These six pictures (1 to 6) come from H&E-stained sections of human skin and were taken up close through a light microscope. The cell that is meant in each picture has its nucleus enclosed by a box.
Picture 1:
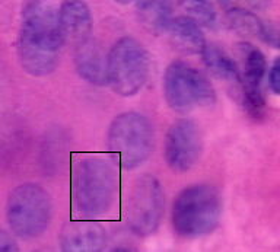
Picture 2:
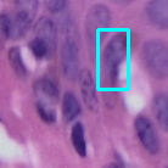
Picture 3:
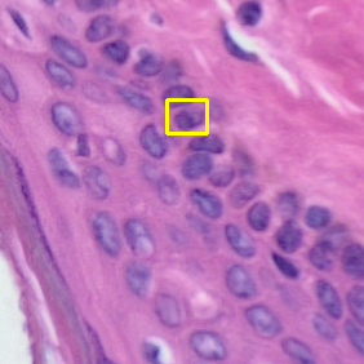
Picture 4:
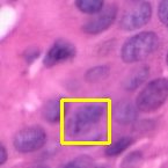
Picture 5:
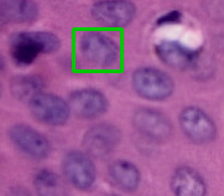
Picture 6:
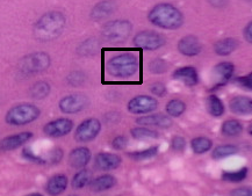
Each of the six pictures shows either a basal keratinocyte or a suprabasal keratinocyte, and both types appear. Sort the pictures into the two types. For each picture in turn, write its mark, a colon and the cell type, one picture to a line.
1: suprabasal keratinocyte
2: basal keratinocyte
3: basal keratinocyte
4: basal keratinocyte
5: suprabasal keratinocyte
6: suprabasal keratinocyte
